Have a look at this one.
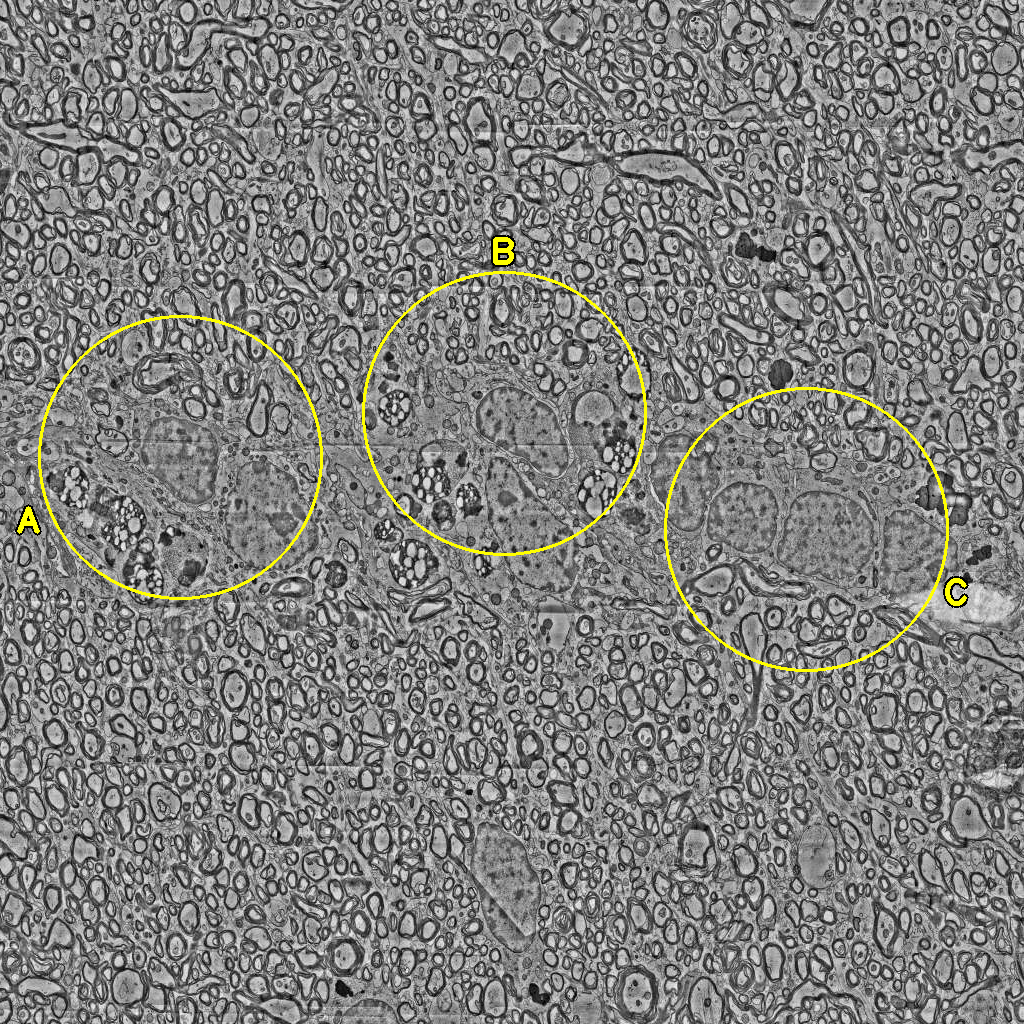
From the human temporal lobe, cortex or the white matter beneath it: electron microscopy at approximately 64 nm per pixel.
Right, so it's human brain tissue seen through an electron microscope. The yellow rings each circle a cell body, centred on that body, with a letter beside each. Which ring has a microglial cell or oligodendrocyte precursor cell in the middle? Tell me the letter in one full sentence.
That kind of cell is sitting in the middle of ring B there.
